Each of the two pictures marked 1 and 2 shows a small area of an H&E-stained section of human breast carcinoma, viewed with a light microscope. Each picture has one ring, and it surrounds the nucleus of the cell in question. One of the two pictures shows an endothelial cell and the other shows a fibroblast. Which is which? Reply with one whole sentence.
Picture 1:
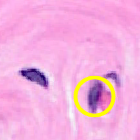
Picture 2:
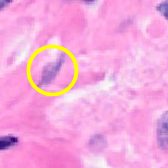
The cell in picture 1 is an endothelial cell, and the one in picture 2 is a fibroblast.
